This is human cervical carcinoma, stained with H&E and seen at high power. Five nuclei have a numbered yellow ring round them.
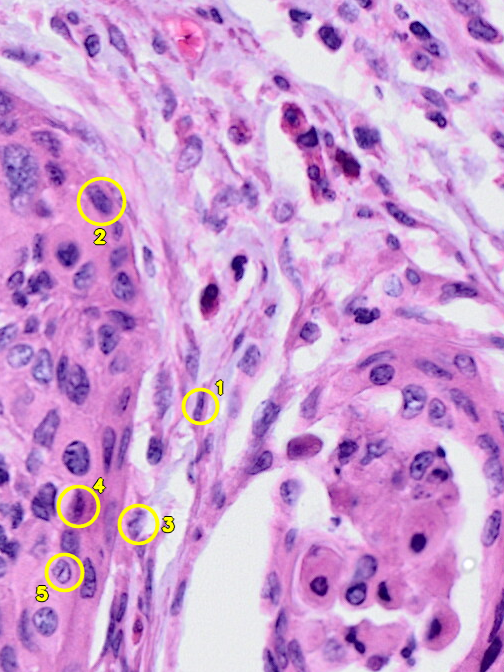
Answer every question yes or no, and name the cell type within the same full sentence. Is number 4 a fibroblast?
No, cell number 4 is identified as a squamous carcinoma cell, not as a fibroblast.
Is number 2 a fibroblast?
No, a fibroblast is not what cell 2 is; it is a squamous carcinoma cell.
